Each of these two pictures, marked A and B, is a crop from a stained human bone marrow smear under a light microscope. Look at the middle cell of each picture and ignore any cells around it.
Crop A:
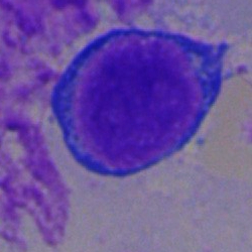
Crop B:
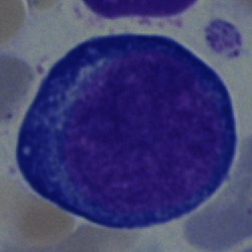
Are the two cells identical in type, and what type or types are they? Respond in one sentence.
Yes, the reply for both crops is proerythroblasts.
